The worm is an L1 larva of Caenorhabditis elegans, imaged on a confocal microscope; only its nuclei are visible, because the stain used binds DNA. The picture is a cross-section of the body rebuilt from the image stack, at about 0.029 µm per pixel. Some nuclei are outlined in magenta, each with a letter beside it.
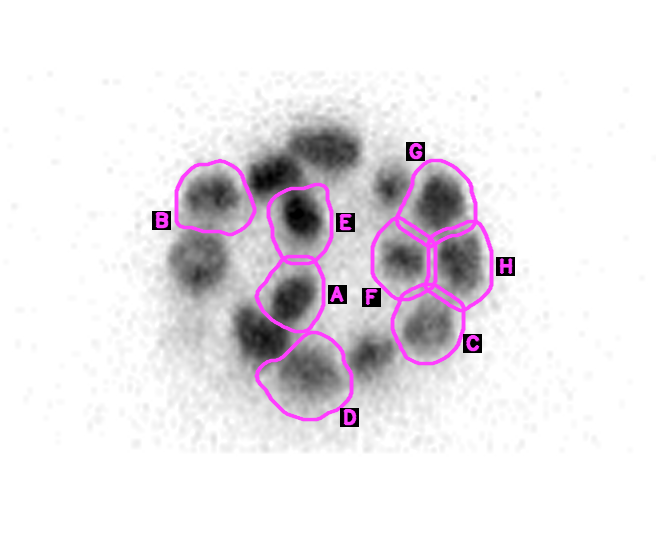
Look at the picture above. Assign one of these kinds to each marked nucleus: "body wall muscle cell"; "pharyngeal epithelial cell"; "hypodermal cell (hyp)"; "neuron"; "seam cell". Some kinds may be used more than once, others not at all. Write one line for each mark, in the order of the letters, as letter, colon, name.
A: neuron
B: body wall muscle cell
C: body wall muscle cell
D: seam cell
E: neuron
F: pharyngeal epithelial cell
G: body wall muscle cell
H: hypodermal cell (hyp)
